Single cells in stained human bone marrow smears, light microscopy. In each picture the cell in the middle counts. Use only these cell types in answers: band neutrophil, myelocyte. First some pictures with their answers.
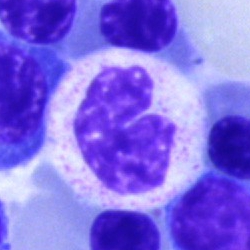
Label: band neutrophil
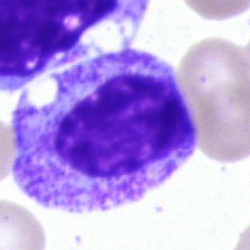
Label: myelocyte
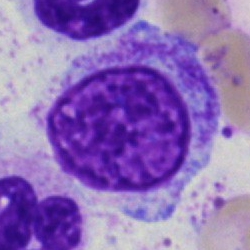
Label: myelocyte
